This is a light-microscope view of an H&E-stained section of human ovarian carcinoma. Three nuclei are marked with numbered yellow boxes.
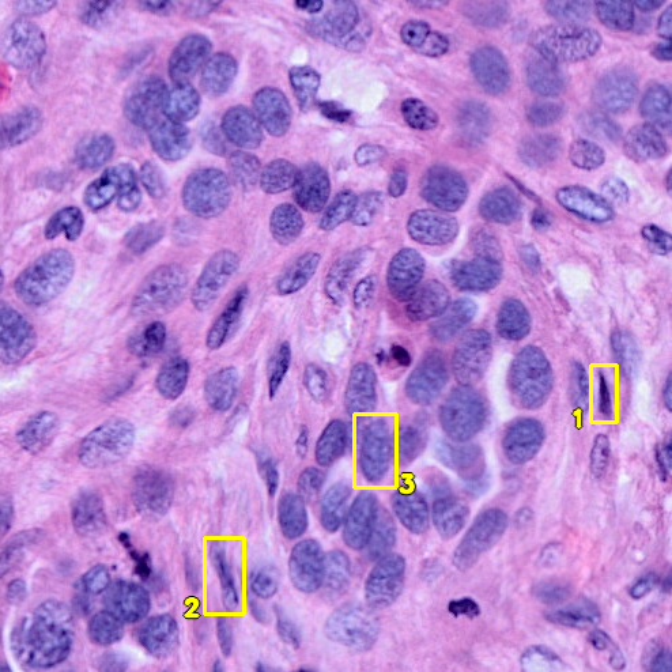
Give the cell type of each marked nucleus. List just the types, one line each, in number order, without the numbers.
fibroblast
fibroblast
carcinoma cell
